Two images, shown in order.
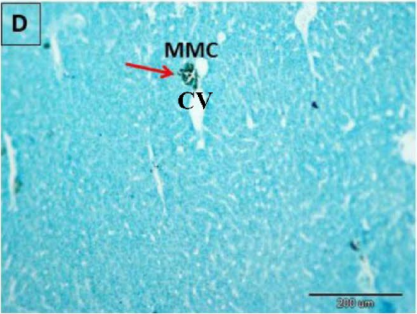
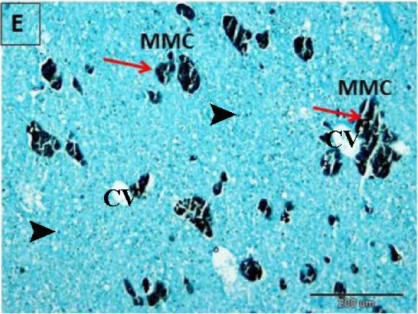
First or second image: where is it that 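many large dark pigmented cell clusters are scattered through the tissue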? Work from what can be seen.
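First image: only one small dark cluster sits beside a vessel in pale blue-green tissue. Second image: numerous large black clusters are spread across the field, several around vessels.
Answer: the second image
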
